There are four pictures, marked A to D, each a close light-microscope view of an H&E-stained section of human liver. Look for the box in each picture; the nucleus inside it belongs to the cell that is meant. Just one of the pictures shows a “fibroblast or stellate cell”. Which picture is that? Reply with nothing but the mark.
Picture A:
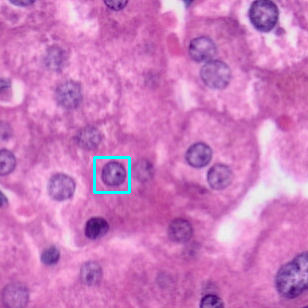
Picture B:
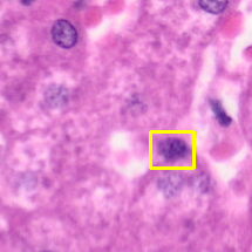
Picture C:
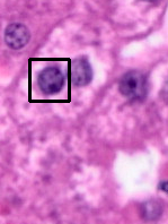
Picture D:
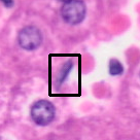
B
